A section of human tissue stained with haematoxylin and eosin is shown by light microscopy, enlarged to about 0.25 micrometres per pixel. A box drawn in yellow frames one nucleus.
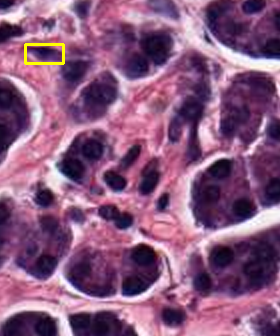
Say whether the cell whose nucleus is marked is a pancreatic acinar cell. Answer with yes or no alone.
no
